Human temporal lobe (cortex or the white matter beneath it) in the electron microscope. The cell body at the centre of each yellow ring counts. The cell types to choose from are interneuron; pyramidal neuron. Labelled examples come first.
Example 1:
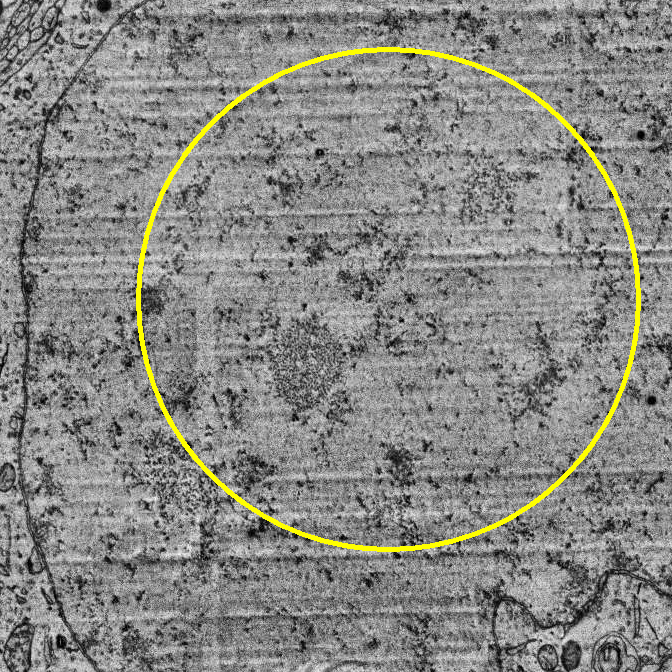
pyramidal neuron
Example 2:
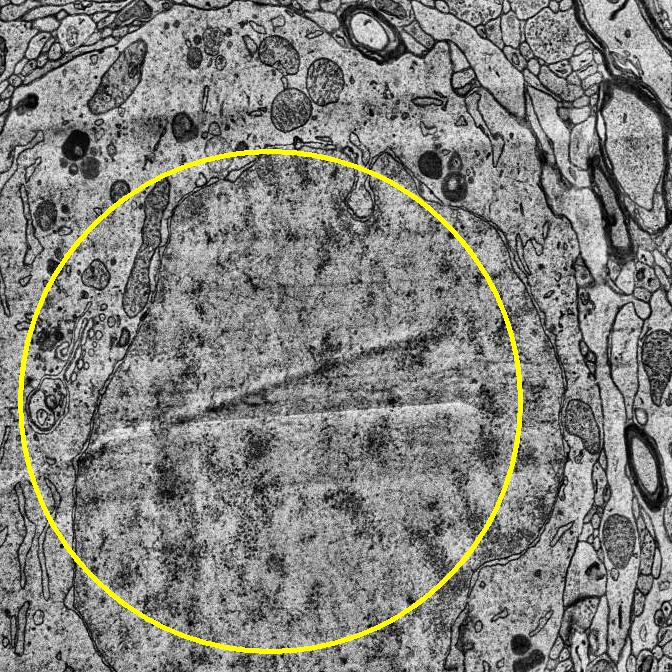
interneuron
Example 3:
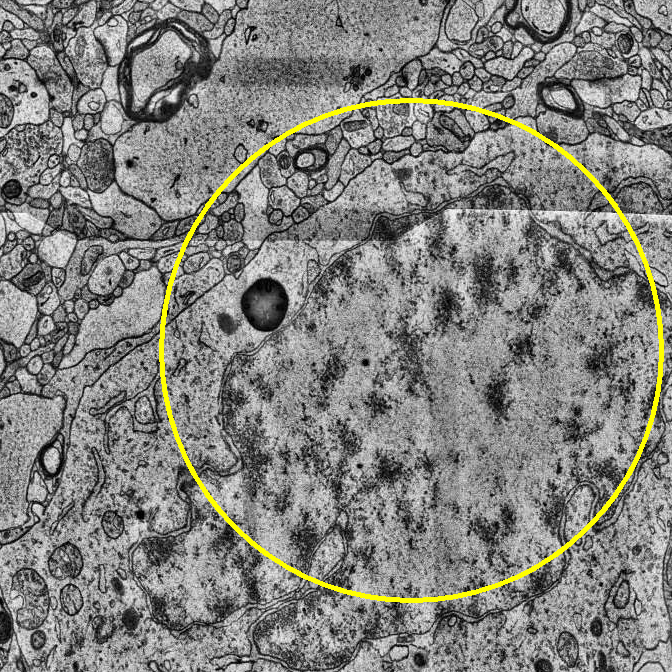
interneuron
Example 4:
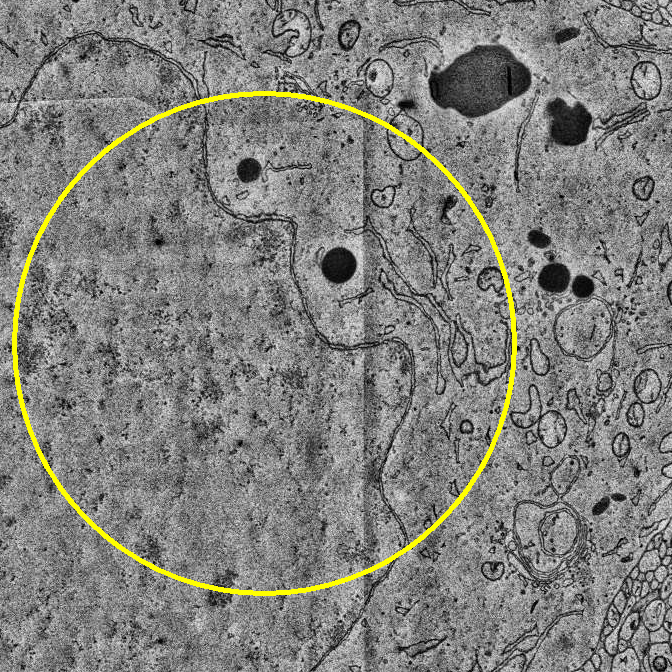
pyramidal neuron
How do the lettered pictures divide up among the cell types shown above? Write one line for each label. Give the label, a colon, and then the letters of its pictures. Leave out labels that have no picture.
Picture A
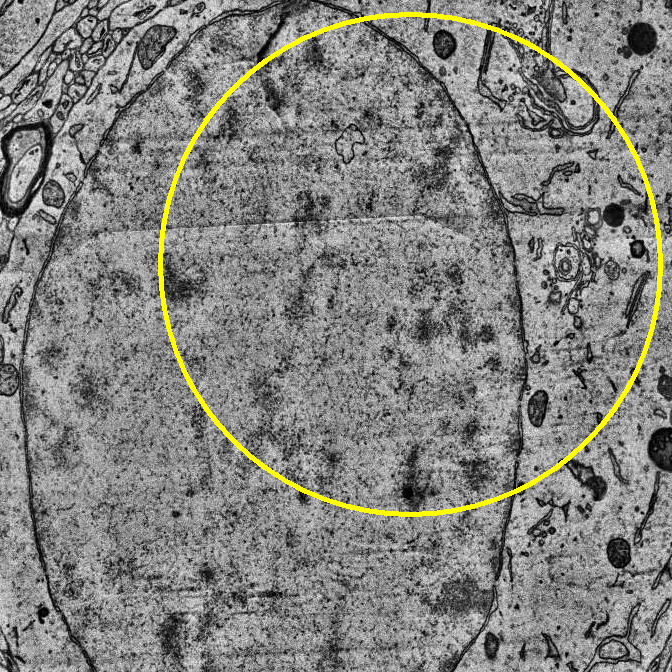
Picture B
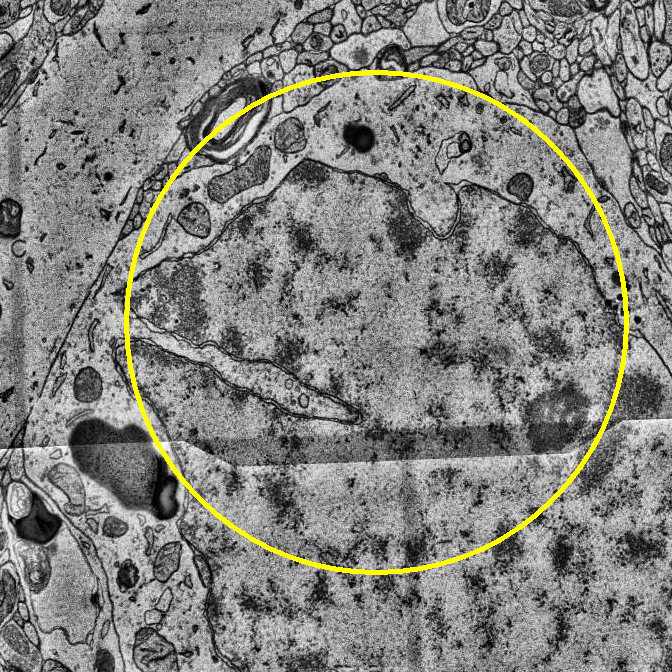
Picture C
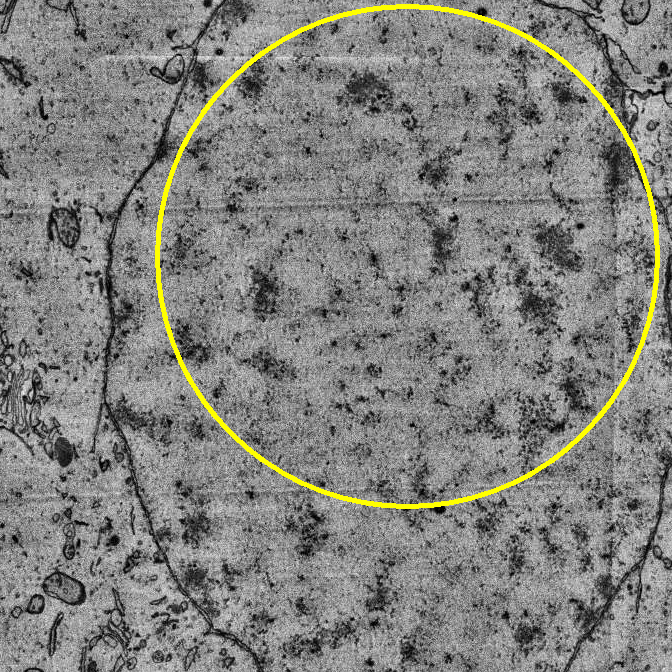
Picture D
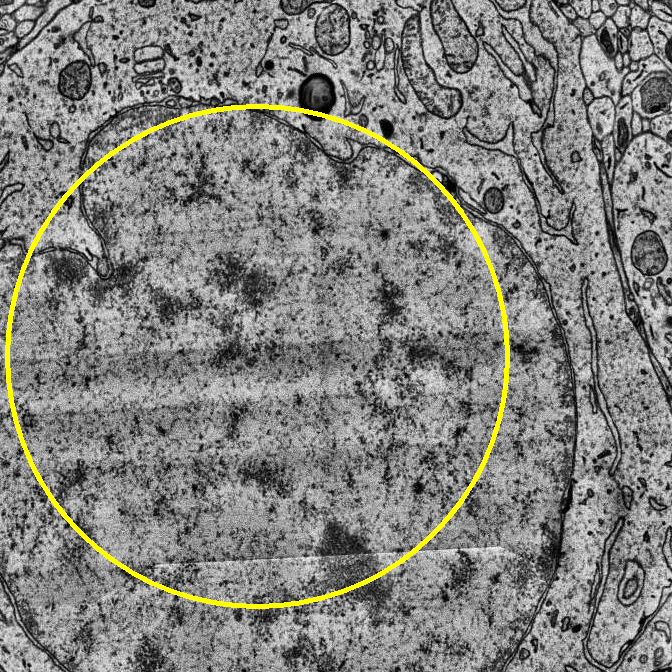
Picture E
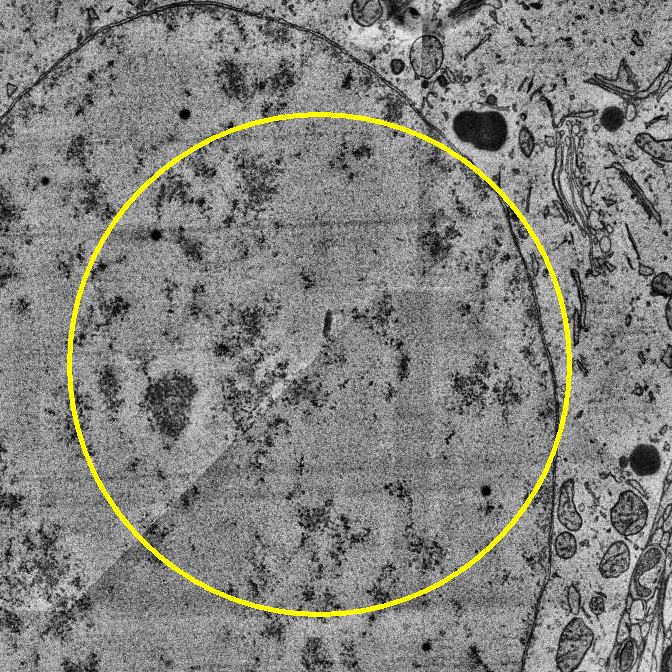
interneuron: B, D
pyramidal neuron: A, C, E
